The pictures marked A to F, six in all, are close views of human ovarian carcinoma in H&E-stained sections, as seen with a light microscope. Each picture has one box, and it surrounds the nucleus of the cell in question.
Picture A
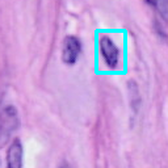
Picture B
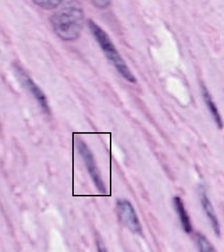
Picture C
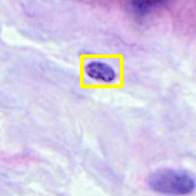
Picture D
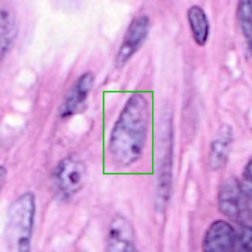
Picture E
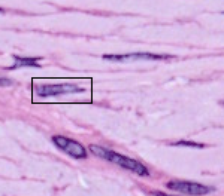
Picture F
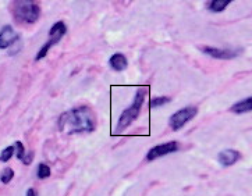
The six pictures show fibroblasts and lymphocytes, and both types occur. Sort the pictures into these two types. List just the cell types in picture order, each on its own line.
lymphocyte
fibroblast
lymphocyte
fibroblast
fibroblast
fibroblast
